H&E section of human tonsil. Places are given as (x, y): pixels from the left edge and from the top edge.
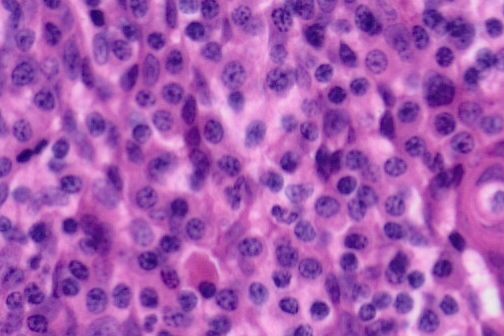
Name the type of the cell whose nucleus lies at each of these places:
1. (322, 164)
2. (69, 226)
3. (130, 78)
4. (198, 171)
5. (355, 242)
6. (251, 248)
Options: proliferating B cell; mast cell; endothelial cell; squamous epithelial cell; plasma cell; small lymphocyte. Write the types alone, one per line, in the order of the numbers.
squamous epithelial cell
squamous epithelial cell
squamous epithelial cell
squamous epithelial cell
plasma cell
plasma cell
